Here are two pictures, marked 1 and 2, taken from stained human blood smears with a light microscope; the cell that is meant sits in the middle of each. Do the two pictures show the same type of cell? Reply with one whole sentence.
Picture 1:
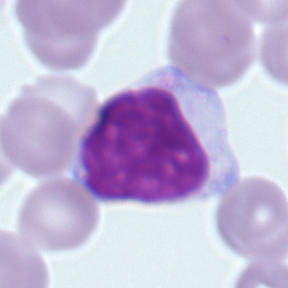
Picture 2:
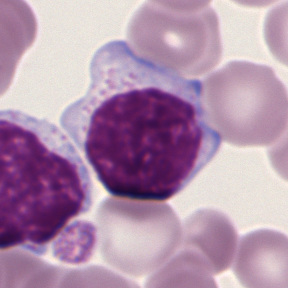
Yes; the cells in both pictures are large granular lymphocytes.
